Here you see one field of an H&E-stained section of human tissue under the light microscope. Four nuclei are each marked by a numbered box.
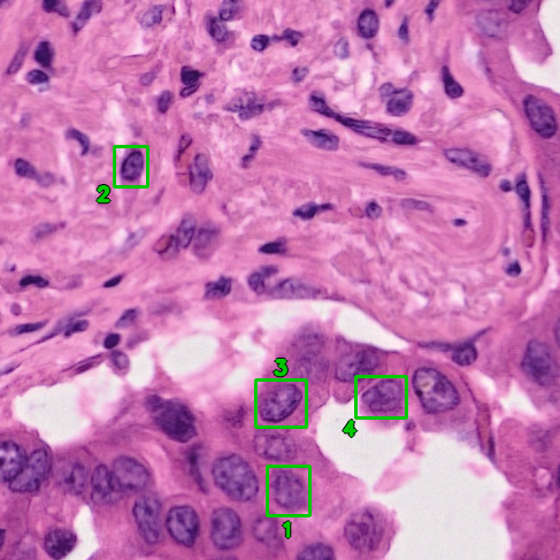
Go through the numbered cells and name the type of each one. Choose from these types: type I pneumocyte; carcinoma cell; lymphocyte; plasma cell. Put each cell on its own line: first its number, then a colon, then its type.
1: carcinoma cell
2: plasma cell
3: carcinoma cell
4: carcinoma cell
